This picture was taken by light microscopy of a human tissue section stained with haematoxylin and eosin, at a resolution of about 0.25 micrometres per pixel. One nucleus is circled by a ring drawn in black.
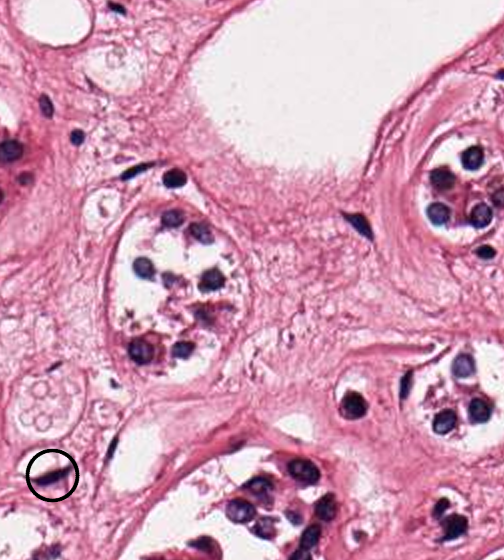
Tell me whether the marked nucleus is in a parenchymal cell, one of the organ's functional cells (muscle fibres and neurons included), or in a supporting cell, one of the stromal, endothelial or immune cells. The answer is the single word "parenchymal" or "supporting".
supporting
